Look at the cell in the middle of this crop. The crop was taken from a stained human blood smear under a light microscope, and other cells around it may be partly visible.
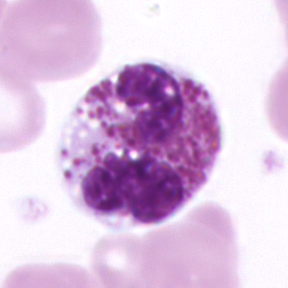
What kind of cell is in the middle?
eosinophil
